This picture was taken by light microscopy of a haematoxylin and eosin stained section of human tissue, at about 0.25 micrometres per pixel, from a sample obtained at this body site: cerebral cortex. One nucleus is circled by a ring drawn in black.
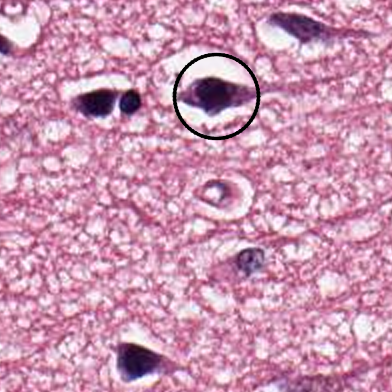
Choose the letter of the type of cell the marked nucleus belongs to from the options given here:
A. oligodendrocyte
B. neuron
B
